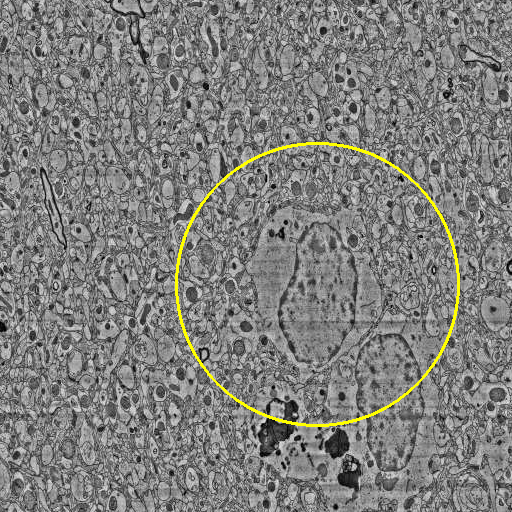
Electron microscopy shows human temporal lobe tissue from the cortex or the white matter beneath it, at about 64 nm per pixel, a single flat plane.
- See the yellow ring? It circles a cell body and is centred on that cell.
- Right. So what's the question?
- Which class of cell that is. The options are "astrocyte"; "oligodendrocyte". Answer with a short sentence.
The centre of the ring holds an astrocyte.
